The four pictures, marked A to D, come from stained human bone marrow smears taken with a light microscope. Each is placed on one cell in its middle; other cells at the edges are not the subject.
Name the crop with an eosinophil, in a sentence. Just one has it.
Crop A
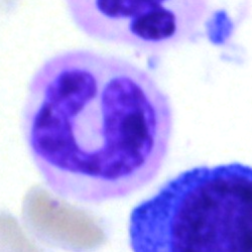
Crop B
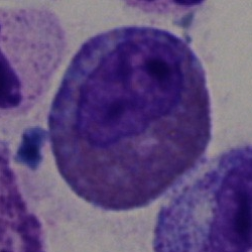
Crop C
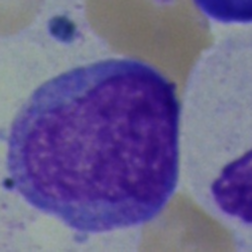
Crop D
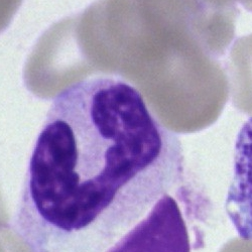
Crop B is identified as the crop showing an eosinophil.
